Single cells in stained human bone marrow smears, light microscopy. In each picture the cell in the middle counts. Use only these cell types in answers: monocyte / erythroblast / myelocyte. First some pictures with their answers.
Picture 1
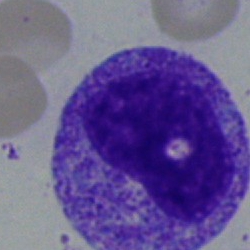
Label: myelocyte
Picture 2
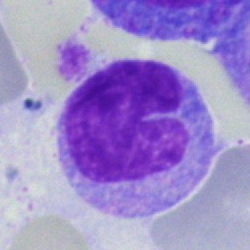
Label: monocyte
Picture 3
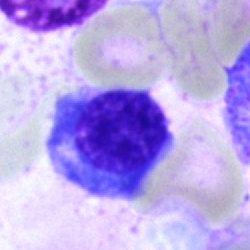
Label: erythroblast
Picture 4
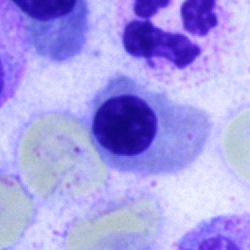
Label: erythroblast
